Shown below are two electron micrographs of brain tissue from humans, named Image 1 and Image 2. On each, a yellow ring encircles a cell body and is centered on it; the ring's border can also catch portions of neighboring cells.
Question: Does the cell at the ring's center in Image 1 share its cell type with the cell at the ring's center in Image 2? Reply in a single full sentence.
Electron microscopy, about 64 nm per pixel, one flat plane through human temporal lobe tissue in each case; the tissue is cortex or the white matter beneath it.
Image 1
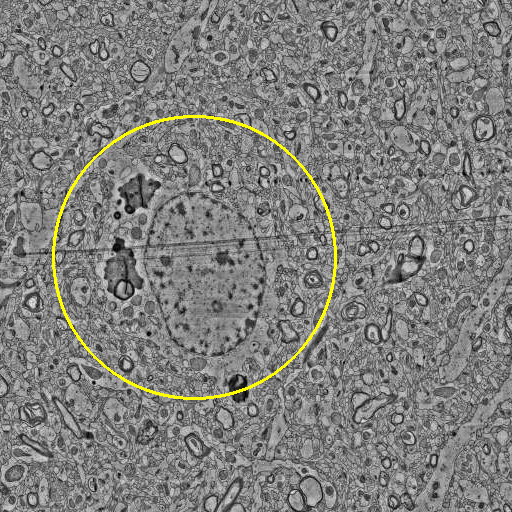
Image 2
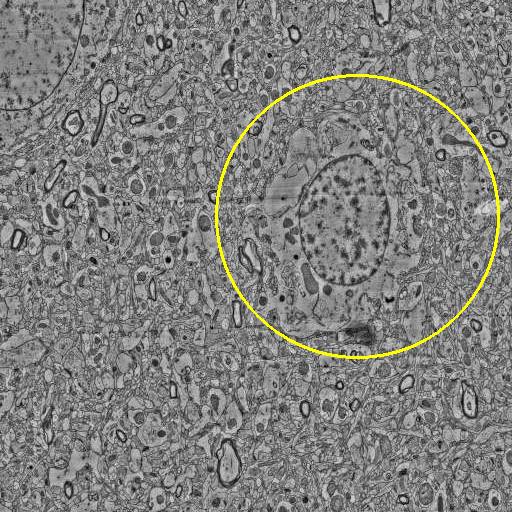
Yes, the two cells at the ring centers, in Image 1 and Image 2, share one cell type.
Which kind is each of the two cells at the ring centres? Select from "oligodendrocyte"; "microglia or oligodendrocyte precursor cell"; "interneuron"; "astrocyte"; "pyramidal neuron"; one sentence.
The first and the second cell are each an astrocyte.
